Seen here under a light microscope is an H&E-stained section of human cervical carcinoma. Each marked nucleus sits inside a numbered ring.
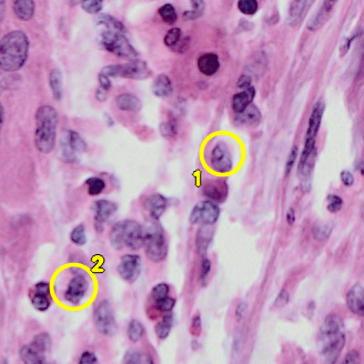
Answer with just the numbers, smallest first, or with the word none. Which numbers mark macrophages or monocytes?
1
